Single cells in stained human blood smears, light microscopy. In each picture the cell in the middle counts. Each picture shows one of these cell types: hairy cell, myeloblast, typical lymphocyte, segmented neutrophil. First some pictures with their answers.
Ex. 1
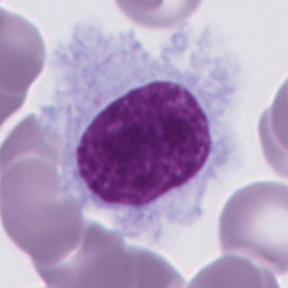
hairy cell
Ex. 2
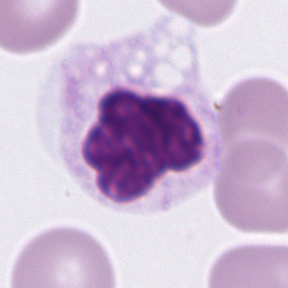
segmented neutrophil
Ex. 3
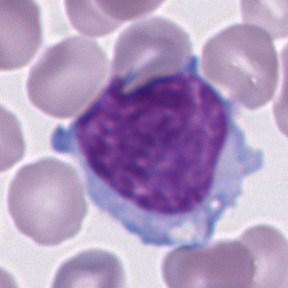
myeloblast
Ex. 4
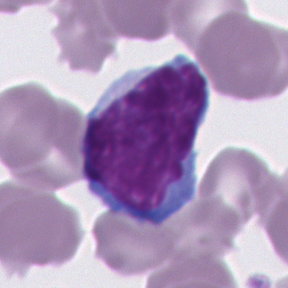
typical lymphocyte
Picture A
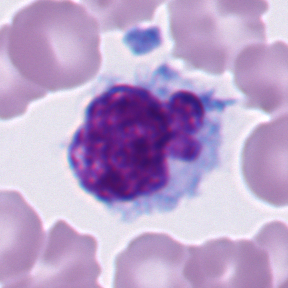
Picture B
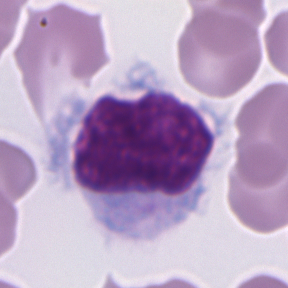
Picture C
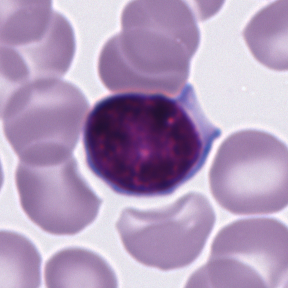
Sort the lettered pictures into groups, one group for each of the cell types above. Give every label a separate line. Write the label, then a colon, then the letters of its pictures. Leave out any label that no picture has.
hairy cell: A, B
typical lymphocyte: C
